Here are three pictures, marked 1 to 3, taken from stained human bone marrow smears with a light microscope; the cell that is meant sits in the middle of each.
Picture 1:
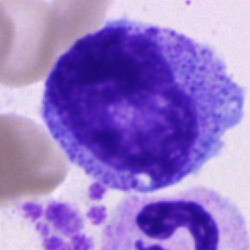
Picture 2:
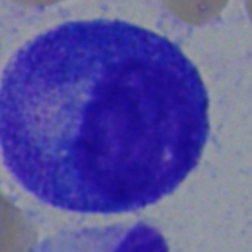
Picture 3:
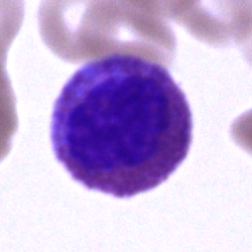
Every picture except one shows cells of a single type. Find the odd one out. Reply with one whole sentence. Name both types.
Picture 3 is the odd one out: it shows an eosinophil, while the others show promyelocytes.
